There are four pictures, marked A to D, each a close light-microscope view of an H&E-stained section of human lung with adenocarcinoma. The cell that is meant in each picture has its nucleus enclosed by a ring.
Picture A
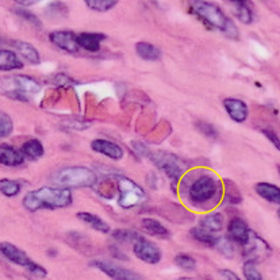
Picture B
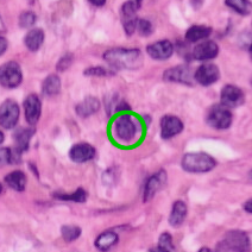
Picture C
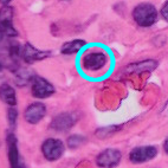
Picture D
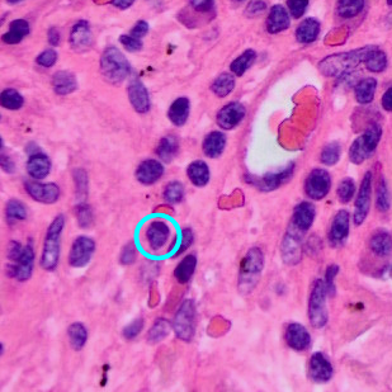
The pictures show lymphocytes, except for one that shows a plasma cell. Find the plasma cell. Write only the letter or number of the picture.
A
